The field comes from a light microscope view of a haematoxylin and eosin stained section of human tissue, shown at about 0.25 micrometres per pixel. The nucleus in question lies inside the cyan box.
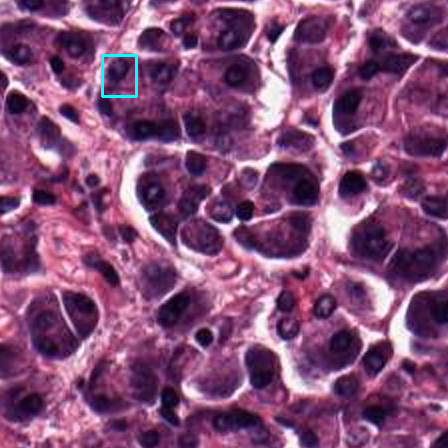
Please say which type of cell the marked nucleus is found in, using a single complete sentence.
Here the marked nucleus is part of a pancreatic acinar cell.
